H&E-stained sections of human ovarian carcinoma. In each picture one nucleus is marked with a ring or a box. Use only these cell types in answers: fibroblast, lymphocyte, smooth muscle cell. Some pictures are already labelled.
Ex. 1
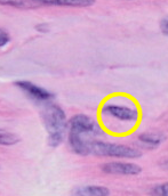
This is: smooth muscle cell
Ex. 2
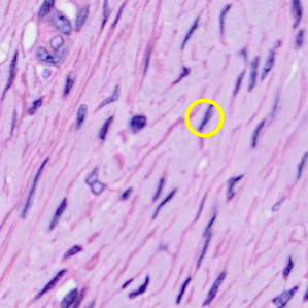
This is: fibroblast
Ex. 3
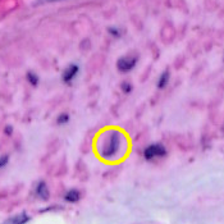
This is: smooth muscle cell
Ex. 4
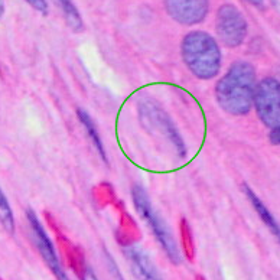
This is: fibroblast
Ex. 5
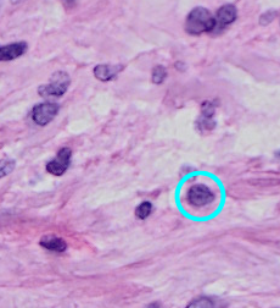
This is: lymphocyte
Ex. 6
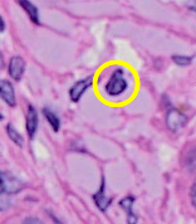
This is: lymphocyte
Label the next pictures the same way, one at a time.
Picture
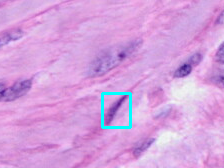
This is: fibroblast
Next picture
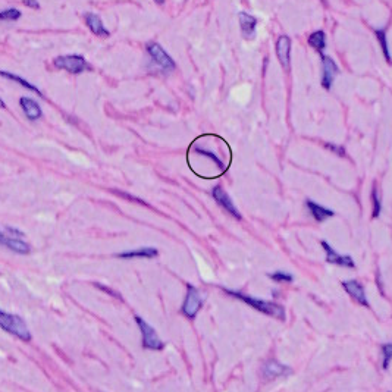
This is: fibroblast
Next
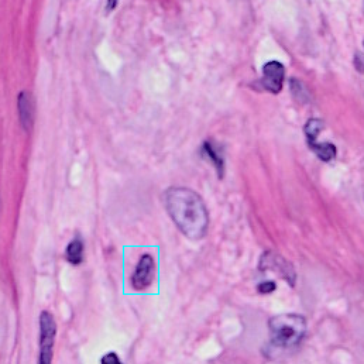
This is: lymphocyte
